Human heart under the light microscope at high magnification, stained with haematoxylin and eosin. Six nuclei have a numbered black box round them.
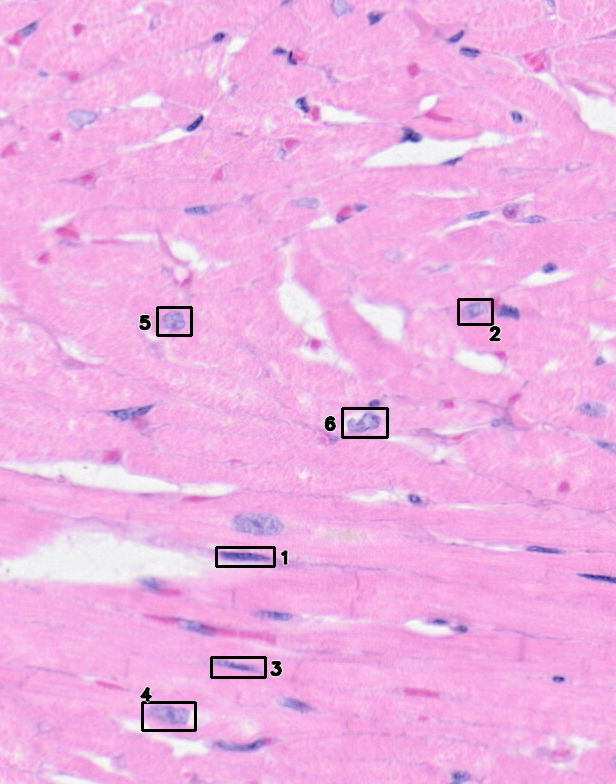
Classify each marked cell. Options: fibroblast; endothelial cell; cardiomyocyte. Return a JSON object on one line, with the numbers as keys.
{"1": "endothelial cell", "2": "cardiomyocyte", "3": "fibroblast", "4": "cardiomyocyte", "5": "cardiomyocyte", "6": "cardiomyocyte"}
